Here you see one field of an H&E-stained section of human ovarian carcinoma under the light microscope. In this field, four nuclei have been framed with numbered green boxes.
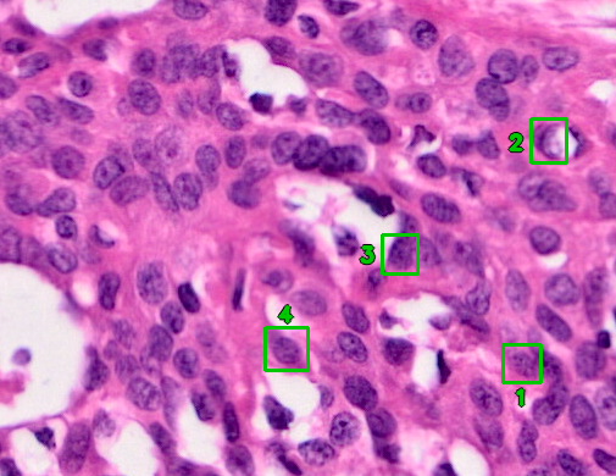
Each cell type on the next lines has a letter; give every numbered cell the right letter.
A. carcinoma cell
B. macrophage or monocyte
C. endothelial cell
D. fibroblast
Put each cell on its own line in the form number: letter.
1: A
2: C
3: A
4: A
